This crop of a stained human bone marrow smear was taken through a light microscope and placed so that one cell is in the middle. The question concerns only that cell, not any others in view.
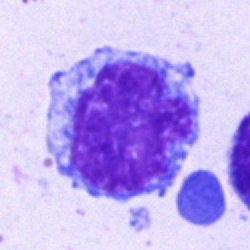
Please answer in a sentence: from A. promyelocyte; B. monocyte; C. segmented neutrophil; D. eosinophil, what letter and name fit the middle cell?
What option B states is correct, the central cell being a monocyte.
